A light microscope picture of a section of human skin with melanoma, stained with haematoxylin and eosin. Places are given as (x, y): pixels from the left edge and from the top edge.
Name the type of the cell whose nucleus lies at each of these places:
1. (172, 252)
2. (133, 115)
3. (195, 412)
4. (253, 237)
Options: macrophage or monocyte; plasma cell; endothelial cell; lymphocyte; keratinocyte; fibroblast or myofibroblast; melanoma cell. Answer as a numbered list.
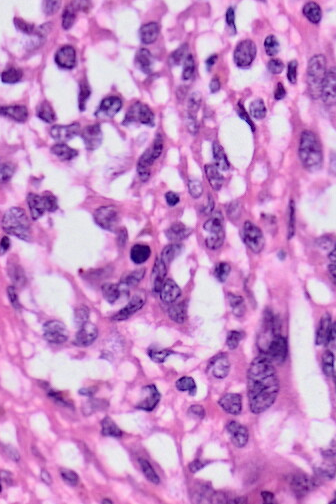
1. melanoma cell
2. melanoma cell
3. macrophage or monocyte
4. melanoma cell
